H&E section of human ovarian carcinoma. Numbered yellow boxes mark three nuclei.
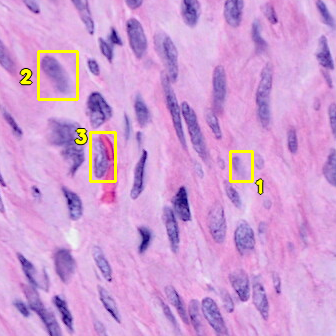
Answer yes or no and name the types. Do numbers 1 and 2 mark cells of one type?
Yes, the cells marked 1 and 2 are both smooth muscle cells.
